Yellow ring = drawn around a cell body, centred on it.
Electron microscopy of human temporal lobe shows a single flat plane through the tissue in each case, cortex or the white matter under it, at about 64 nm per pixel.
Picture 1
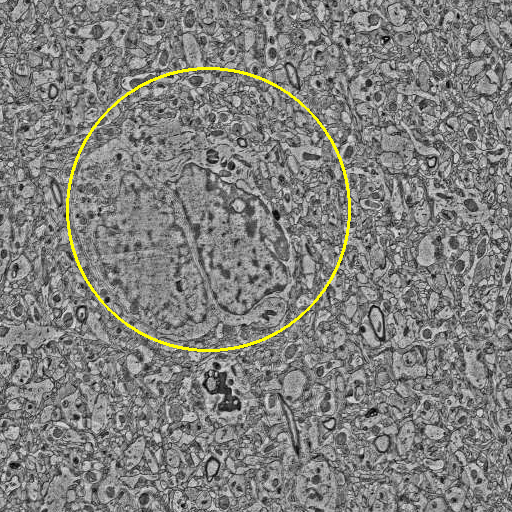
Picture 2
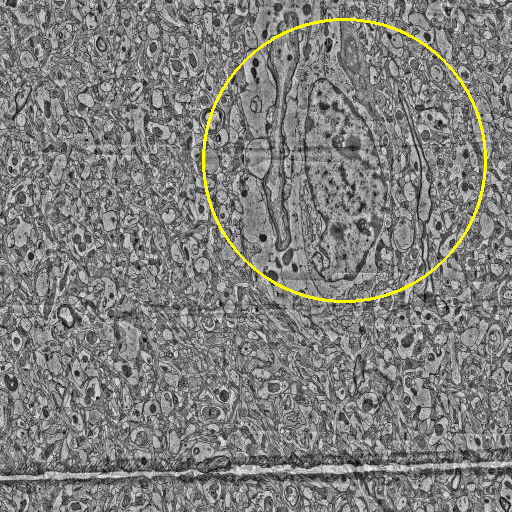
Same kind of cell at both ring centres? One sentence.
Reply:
Yes, they are the same kind of cell.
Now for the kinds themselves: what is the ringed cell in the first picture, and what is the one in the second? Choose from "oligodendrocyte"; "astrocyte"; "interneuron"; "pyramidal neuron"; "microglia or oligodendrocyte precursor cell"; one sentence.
Each of the two pictures has a microglial cell or oligodendrocyte precursor cell at the ring centre.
